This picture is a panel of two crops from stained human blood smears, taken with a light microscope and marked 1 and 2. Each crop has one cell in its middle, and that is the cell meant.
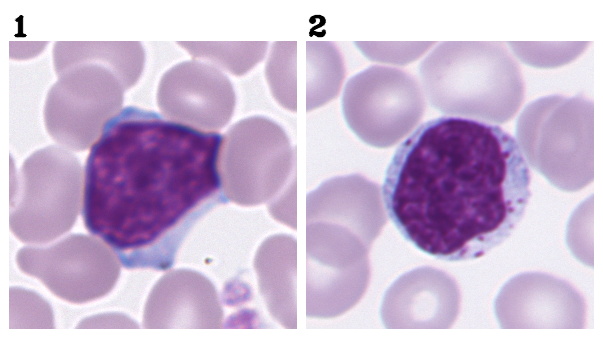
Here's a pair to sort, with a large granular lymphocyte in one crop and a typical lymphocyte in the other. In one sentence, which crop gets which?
Crop 1 holds a typical lymphocyte; crop 2 holds a large granular lymphocyte.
